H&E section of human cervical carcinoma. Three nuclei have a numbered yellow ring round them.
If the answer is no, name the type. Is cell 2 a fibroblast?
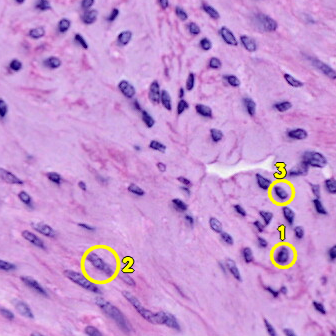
No, it is a smooth muscle cell.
